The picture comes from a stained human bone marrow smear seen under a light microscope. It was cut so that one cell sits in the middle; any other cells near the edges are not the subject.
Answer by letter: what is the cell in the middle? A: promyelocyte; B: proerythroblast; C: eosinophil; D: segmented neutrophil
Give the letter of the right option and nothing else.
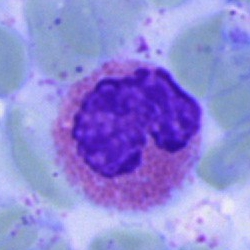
C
